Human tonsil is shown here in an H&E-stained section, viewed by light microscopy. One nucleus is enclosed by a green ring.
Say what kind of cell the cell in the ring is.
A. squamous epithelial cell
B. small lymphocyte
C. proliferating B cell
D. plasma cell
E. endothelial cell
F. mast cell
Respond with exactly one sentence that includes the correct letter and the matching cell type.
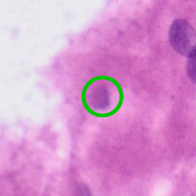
Option A is correct; the cell in the ring is a squamous epithelial cell.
